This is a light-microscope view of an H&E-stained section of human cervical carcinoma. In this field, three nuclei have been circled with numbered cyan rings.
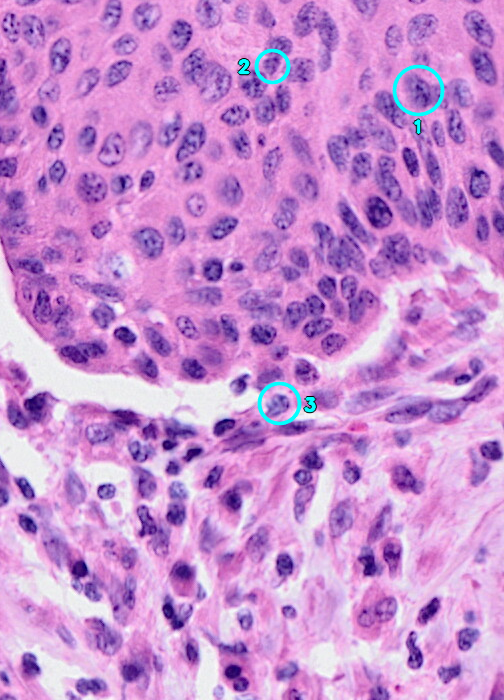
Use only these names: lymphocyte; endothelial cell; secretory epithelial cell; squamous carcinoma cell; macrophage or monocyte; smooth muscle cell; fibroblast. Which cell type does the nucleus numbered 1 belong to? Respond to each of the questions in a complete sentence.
In this section, number 1 marks a squamous carcinoma cell.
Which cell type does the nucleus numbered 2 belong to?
The cell pointed out by number 2 is a squamous carcinoma cell.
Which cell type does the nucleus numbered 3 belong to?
At number 3, the marked cell is a lymphocyte.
